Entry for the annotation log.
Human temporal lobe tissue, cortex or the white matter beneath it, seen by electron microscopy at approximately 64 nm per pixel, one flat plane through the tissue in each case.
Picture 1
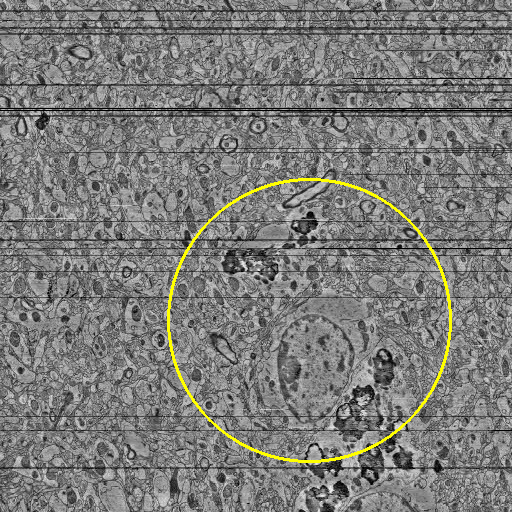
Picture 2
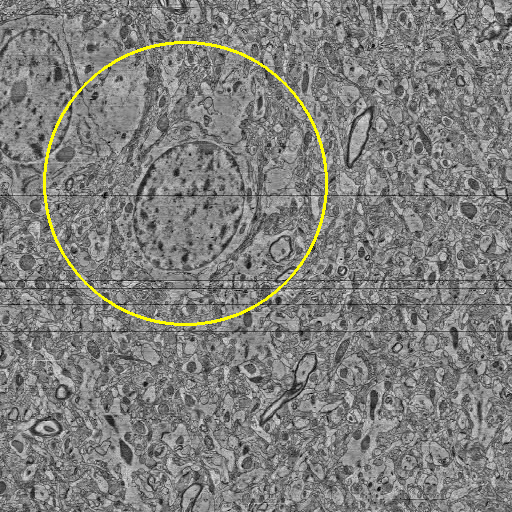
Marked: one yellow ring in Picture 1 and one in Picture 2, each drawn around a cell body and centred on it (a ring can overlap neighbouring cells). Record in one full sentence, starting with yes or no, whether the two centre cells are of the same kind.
No, the two cells are of two kinds.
